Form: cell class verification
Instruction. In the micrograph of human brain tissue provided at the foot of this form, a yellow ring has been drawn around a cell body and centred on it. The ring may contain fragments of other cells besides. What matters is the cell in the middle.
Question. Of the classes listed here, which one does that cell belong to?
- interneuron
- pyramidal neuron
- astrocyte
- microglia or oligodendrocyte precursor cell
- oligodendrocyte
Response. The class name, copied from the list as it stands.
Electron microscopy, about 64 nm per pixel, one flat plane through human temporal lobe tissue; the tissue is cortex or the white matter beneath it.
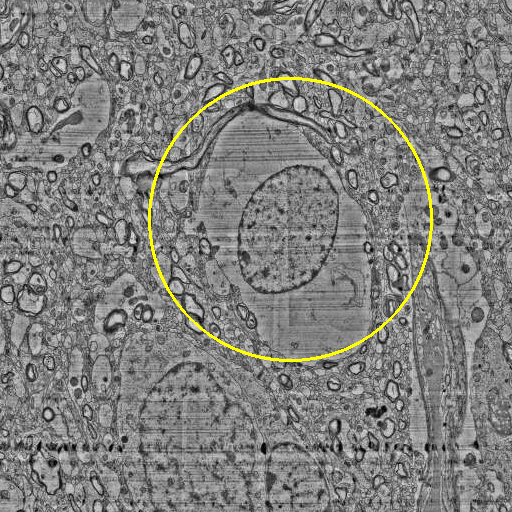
astrocyte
